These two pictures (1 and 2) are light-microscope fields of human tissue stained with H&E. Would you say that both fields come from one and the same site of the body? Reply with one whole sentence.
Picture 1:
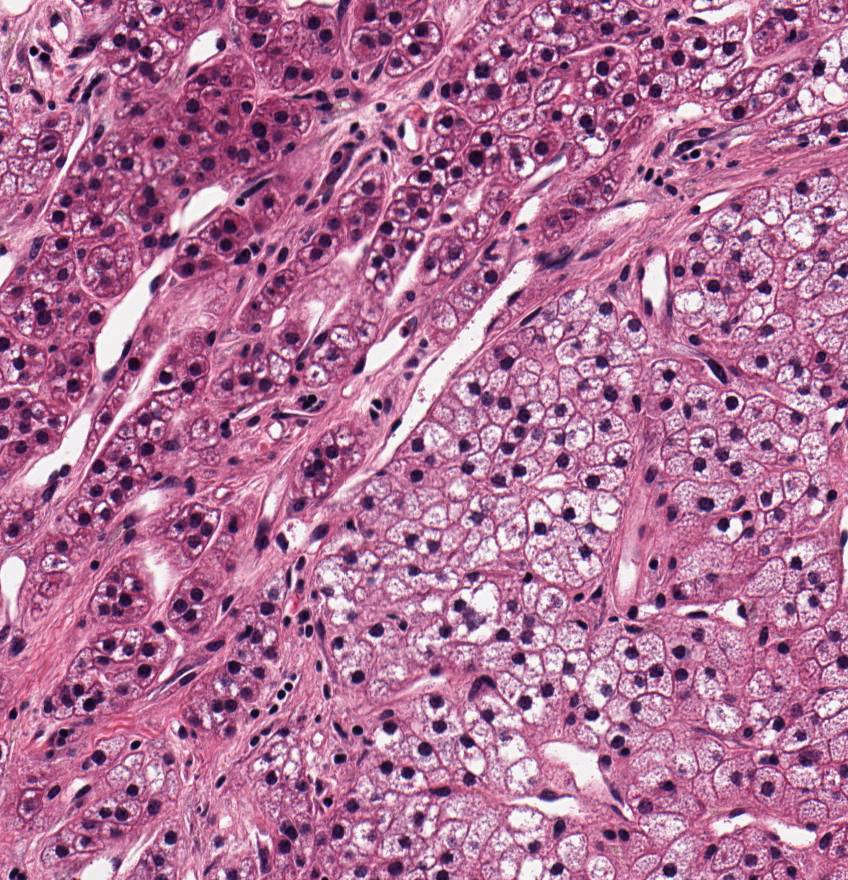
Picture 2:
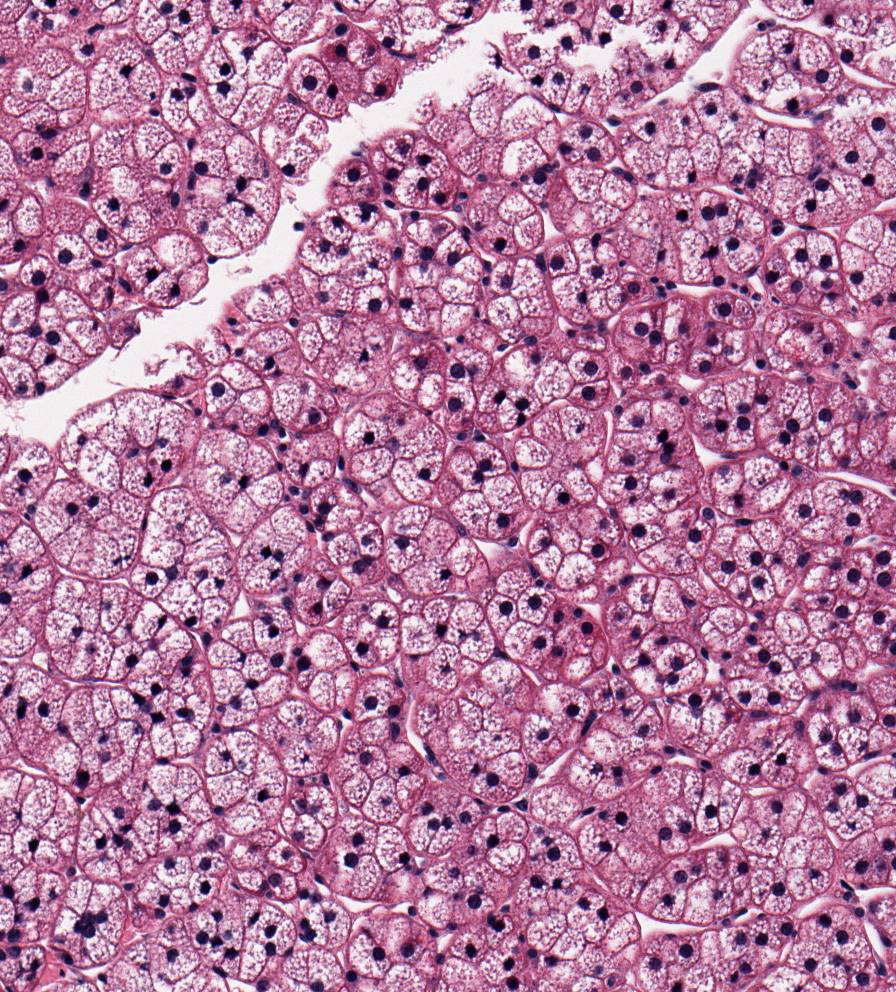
Yes; both pictures come from the adrenal gland.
